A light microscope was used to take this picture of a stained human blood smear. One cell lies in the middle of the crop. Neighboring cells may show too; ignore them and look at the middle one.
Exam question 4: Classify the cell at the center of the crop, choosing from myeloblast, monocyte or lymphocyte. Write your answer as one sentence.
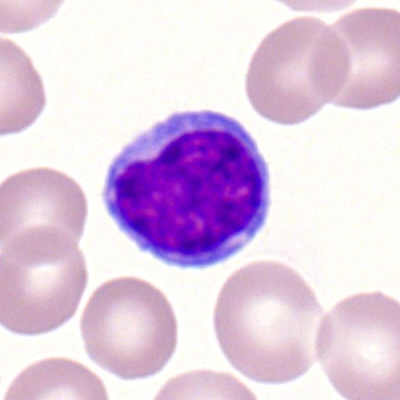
The middle of this crop is occupied by a lymphocyte.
